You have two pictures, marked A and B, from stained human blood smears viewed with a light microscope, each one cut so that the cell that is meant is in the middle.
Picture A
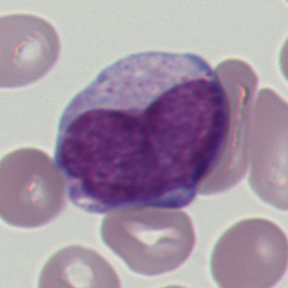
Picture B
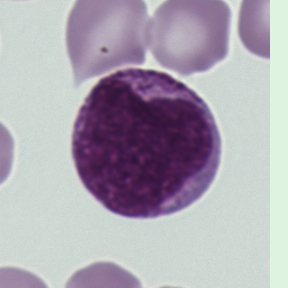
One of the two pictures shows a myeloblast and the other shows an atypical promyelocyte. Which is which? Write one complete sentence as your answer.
In picture A the cell is an atypical promyelocyte; in picture B, a myeloblast.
